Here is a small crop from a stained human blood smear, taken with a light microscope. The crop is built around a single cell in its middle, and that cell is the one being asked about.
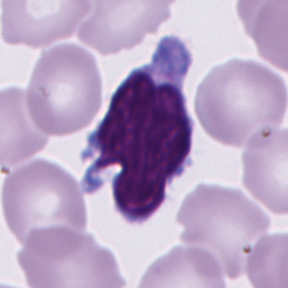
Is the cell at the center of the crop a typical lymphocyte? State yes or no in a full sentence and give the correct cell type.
Yes, the cell of interest in the middle is a typical lymphocyte.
